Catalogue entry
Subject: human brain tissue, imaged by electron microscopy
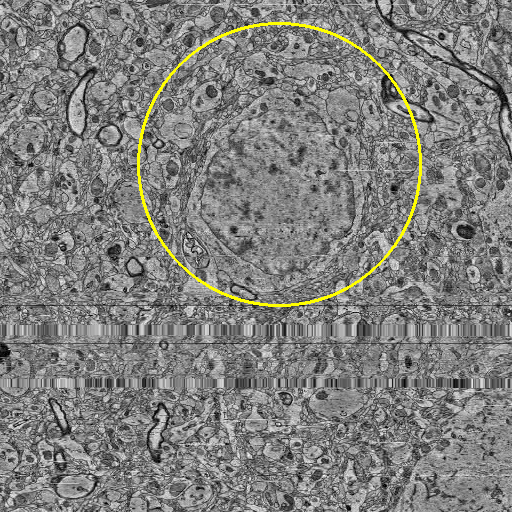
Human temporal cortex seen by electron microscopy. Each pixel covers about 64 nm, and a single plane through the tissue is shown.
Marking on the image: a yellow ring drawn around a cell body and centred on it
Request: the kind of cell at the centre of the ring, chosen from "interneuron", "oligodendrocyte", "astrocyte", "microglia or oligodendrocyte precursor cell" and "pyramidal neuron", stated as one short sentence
The ring has an interneuron at its centre.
